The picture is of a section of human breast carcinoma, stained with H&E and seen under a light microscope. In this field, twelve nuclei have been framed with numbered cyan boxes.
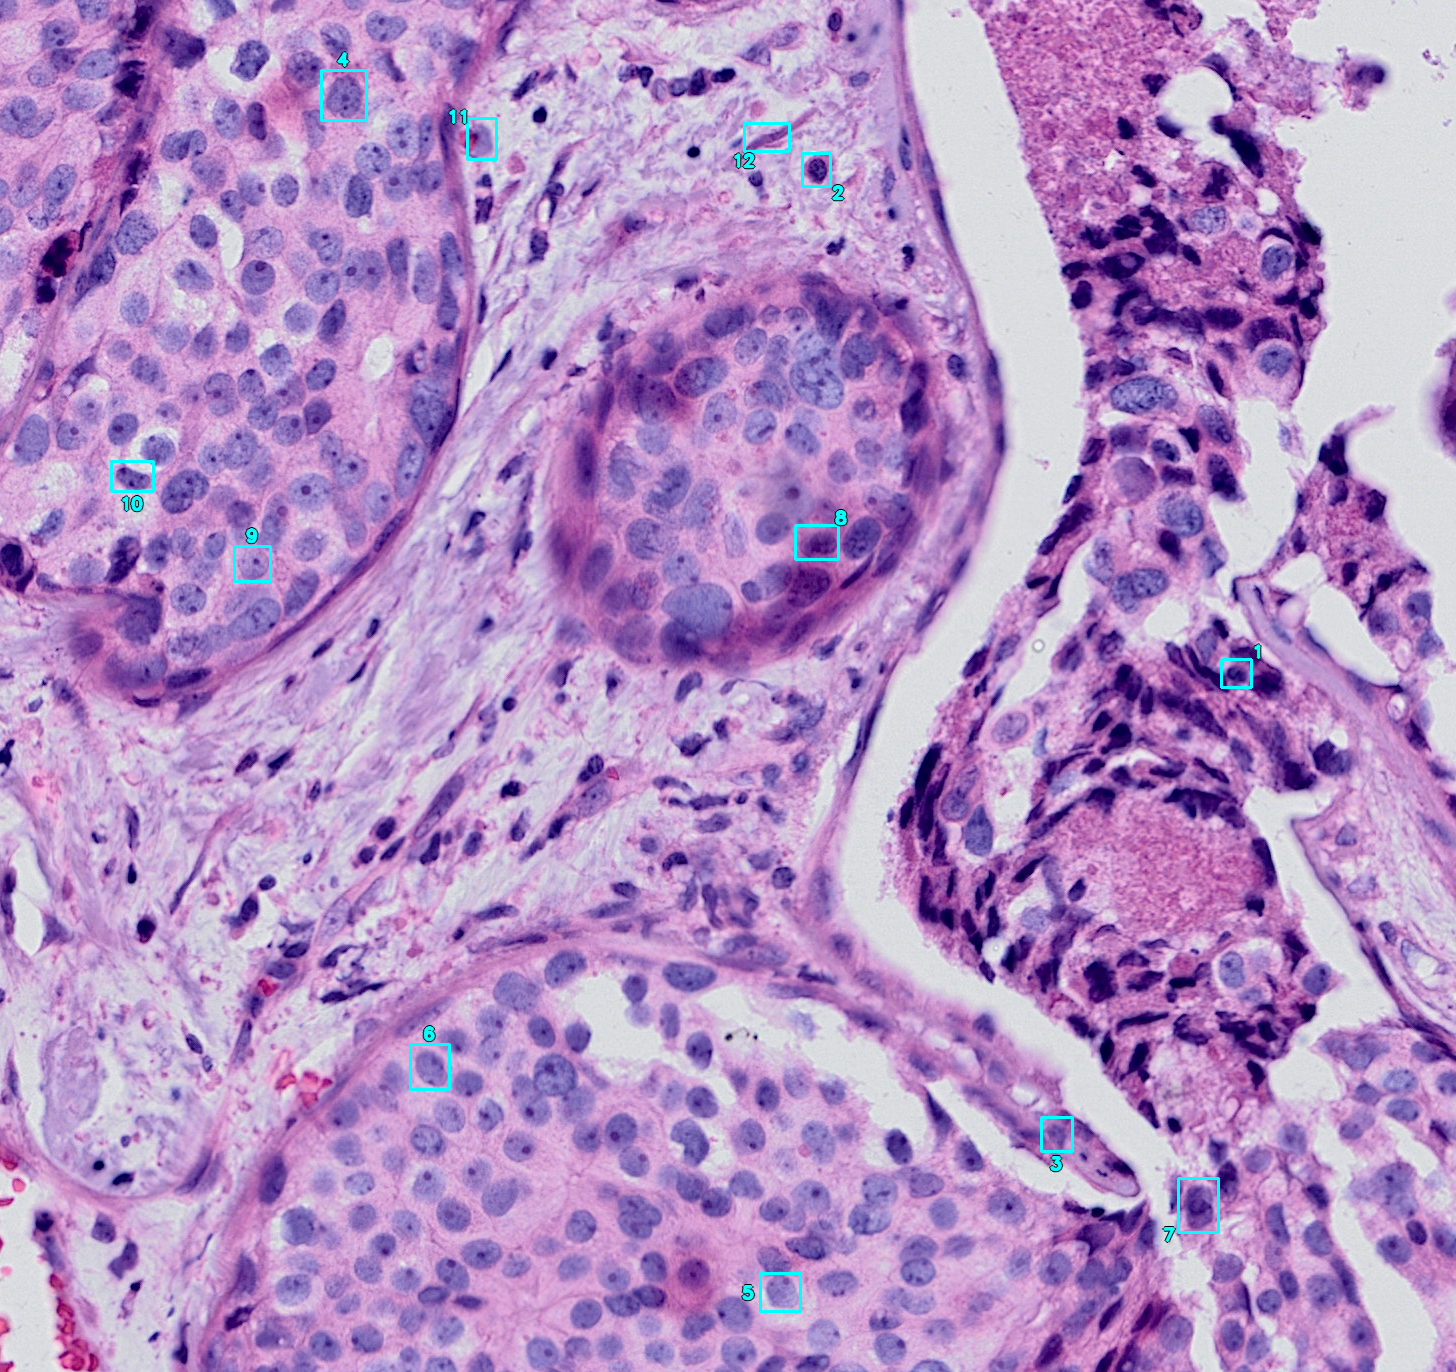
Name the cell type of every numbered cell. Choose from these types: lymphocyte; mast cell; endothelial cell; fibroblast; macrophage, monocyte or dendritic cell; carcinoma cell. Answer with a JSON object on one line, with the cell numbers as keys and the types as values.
{"1": "lymphocyte", "2": "mast cell", "3": "endothelial cell", "4": "carcinoma cell", "5": "carcinoma cell", "6": "carcinoma cell", "7": "carcinoma cell", "8": "carcinoma cell", "9": "carcinoma cell", "10": "carcinoma cell", "11": "endothelial cell", "12": "fibroblast"}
